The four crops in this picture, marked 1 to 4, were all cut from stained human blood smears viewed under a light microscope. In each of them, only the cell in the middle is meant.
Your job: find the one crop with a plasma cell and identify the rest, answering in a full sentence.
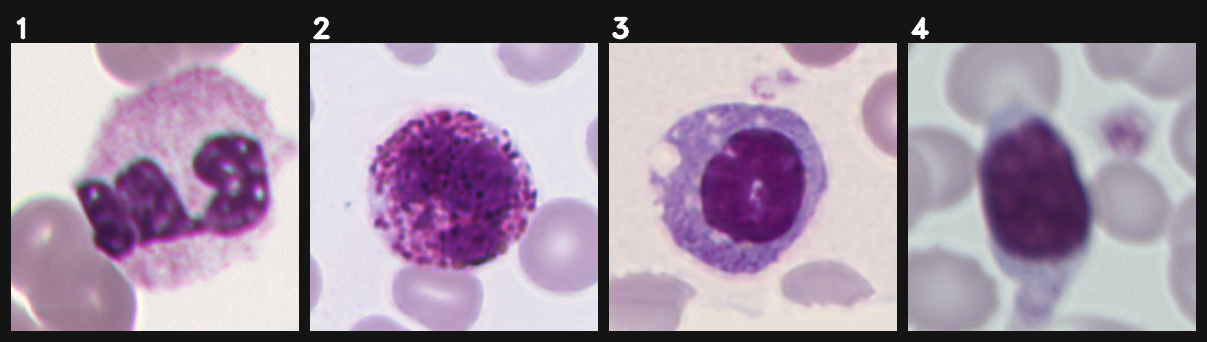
On inspection, crop 3 shows a plasma cell, while crop 1 is a neutrophil, crop 2 is a basophil and crop 4 is a lymphocyte.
